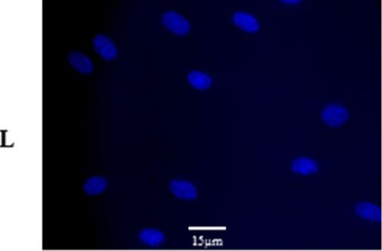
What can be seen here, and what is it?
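These are cultured cells seen only by their nuclei, which glow blue. The nuclei are smooth, elongated ovals, fairly uniform in size, and each is stained evenly without bright specks or breaks in its outline. They lie scattered singly across the dish, well spaced, with dark background between them, and many point in roughly the same direction, as cells in a spindle-shaped culture often do. None of them looks shrunken, fragmented or unusually bright, so this field shows the ordinary appearance of healthy nuclei against which damaged ones can be judged.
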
